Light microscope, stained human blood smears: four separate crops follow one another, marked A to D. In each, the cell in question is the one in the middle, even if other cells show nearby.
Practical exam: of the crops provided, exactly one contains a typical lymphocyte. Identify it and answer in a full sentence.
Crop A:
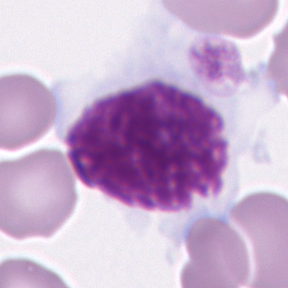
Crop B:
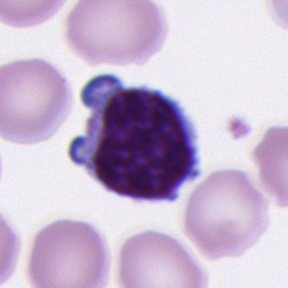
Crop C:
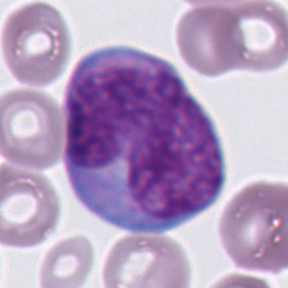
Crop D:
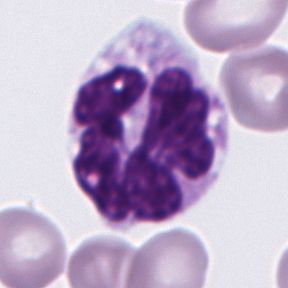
Crop B is the one in the set with a typical lymphocyte at the center.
